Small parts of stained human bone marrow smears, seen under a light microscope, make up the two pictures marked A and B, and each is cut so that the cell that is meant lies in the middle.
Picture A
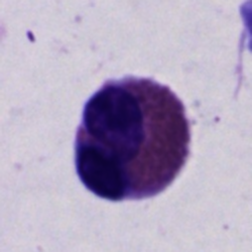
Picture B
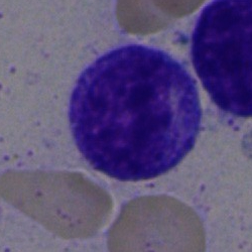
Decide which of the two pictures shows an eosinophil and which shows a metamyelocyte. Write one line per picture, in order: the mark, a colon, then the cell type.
A: eosinophil
B: metamyelocyte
